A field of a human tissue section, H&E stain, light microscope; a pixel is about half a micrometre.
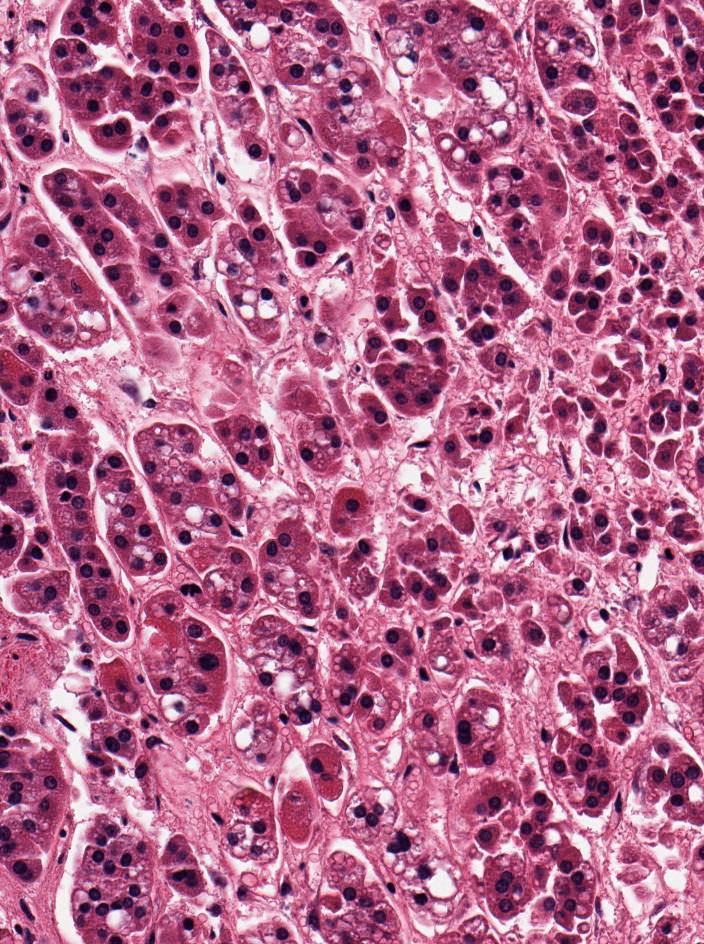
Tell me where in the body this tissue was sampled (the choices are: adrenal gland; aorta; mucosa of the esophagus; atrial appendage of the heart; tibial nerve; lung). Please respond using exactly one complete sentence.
The tissue shown was sampled from the adrenal gland.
